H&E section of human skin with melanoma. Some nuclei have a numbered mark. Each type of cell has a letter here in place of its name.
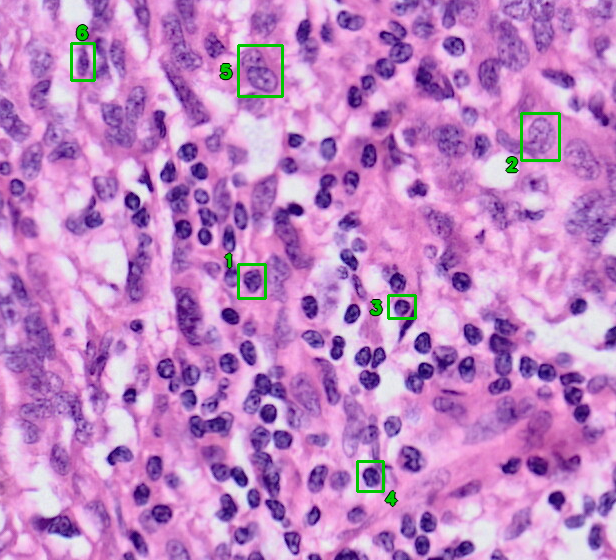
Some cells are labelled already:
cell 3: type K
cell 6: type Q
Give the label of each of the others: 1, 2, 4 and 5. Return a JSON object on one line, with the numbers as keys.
{"1": "type K", "2": "type Q", "4": "type K", "5": "type Q"}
